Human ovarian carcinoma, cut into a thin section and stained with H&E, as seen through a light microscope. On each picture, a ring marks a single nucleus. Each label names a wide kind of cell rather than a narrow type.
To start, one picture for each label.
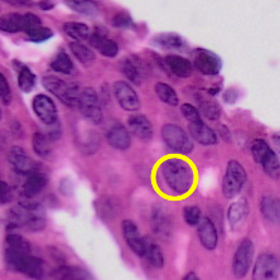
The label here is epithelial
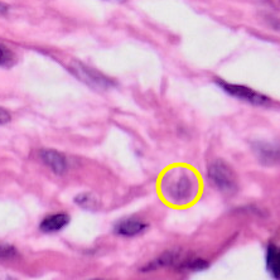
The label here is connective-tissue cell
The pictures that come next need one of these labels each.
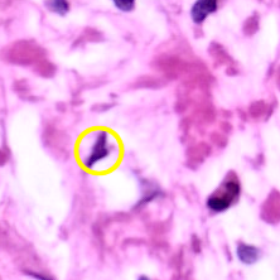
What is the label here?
connective-tissue cell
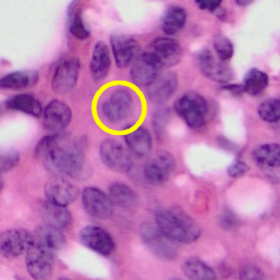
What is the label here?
epithelial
